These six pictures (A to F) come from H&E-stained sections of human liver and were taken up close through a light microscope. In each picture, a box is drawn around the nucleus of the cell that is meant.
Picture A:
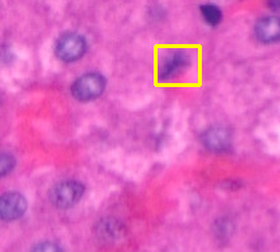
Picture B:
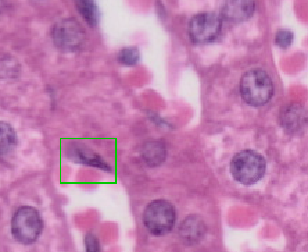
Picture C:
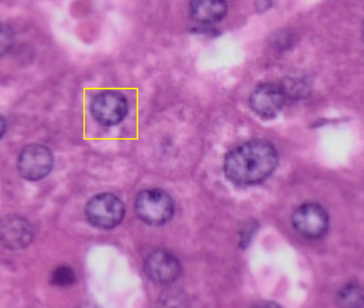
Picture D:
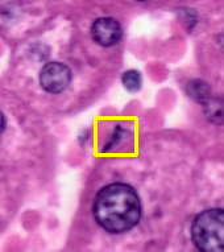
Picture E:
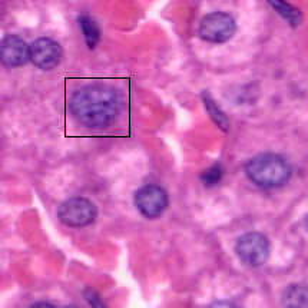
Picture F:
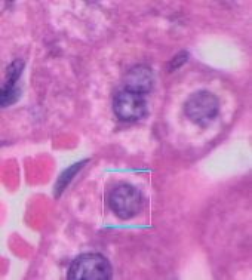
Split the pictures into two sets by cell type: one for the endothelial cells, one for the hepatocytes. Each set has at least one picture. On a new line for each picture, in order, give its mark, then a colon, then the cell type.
A: endothelial cell
B: endothelial cell
C: hepatocyte
D: endothelial cell
E: hepatocyte
F: hepatocyte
